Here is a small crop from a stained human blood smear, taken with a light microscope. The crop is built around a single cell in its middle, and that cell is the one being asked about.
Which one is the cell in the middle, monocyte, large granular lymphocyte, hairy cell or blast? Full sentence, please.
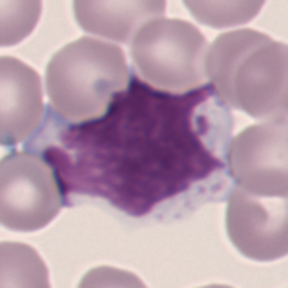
The middle of this crop holds a large granular lymphocyte.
